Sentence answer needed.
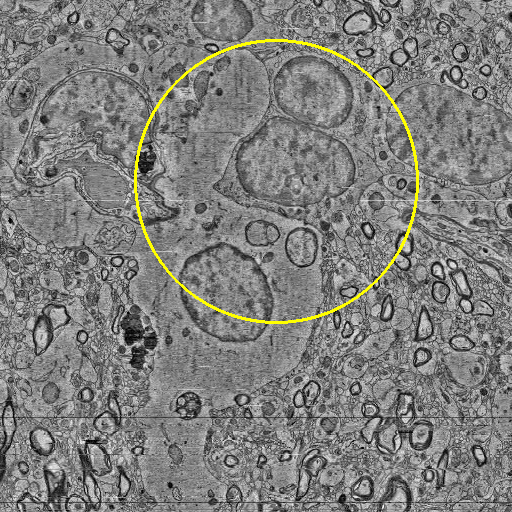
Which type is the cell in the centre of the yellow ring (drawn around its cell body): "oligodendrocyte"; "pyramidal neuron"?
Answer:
In the centre of the yellow ring is an oligodendrocyte.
